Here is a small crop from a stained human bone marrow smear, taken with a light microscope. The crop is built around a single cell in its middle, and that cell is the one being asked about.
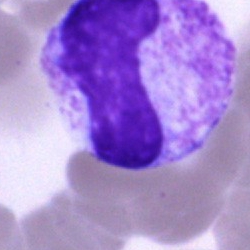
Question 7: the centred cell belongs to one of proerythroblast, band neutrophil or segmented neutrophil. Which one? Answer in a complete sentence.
Here the cell in the middle is a band neutrophil.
